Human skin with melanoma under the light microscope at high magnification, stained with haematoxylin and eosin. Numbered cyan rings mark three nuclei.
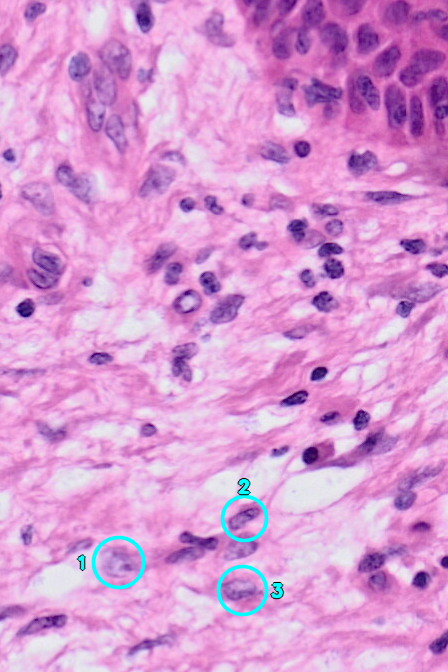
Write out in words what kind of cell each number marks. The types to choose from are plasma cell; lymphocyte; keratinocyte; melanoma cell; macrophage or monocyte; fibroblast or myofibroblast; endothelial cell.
Cells 1 and 3 are fibroblasts or myofibroblasts. Cell 2 is a macrophage or monocyte.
